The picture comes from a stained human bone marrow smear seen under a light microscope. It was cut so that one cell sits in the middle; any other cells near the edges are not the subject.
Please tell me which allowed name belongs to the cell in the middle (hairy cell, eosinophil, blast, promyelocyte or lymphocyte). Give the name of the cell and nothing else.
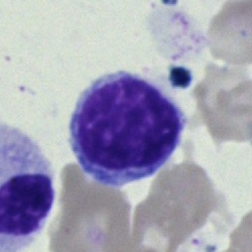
lymphocyte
